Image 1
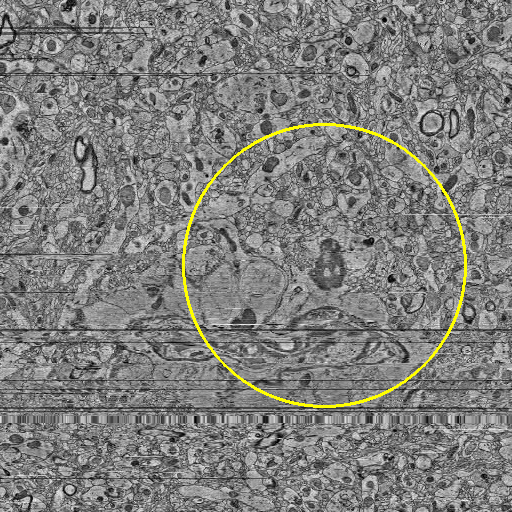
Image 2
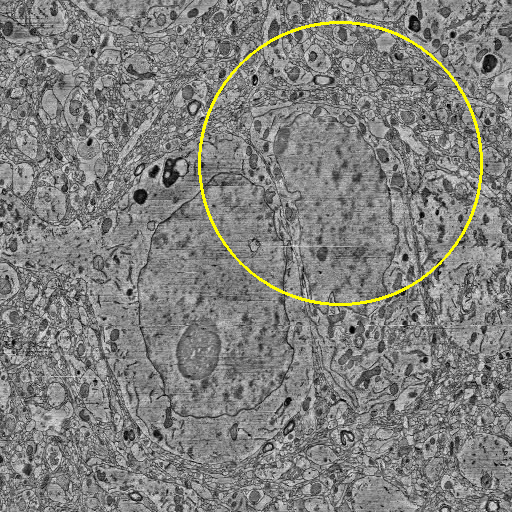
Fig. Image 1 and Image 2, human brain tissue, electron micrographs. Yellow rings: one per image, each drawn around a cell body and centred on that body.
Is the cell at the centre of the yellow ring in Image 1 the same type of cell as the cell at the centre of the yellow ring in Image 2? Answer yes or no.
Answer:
no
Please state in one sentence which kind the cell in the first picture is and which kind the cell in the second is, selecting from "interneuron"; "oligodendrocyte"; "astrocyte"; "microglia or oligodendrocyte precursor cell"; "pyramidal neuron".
The first ringed cell is a microglial cell or oligodendrocyte precursor cell, the second ringed cell an interneuron.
